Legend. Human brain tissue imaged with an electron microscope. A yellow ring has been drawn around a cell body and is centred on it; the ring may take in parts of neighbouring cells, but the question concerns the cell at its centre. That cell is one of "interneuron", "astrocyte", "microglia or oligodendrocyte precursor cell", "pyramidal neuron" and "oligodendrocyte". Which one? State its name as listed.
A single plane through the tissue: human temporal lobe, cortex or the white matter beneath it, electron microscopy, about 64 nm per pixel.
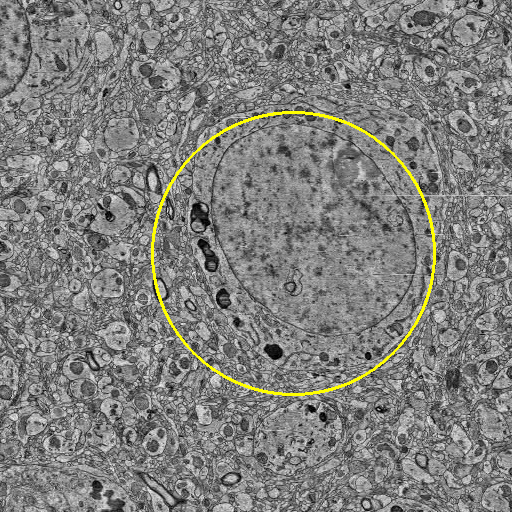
pyramidal neuron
